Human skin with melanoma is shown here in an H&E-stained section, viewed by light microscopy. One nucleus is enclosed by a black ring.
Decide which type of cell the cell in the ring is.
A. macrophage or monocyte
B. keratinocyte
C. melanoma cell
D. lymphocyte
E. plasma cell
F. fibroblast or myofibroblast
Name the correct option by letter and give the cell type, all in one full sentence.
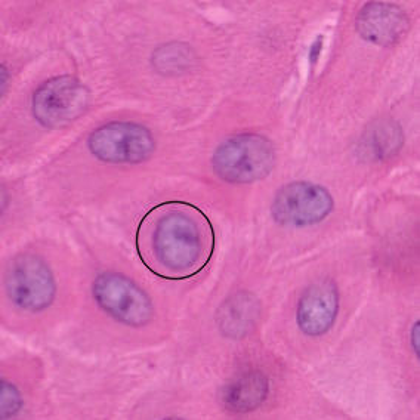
Of the options offered, B is correct, as the cell in the ring is a keratinocyte.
